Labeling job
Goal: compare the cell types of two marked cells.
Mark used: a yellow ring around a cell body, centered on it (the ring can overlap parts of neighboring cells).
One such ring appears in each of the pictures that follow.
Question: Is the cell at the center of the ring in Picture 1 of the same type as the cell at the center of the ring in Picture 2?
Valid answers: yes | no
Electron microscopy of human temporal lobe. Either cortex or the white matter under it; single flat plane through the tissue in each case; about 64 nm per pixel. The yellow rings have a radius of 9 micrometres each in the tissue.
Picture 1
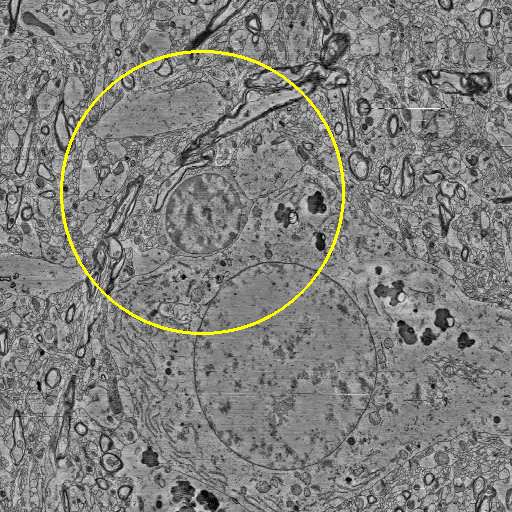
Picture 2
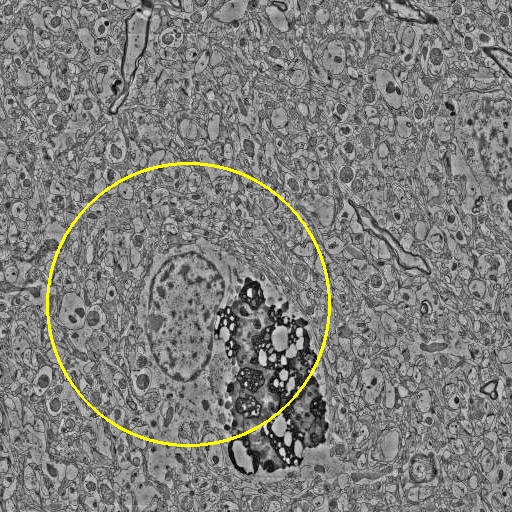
no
